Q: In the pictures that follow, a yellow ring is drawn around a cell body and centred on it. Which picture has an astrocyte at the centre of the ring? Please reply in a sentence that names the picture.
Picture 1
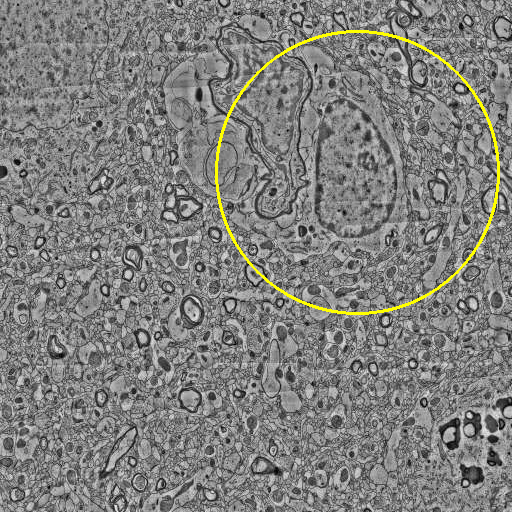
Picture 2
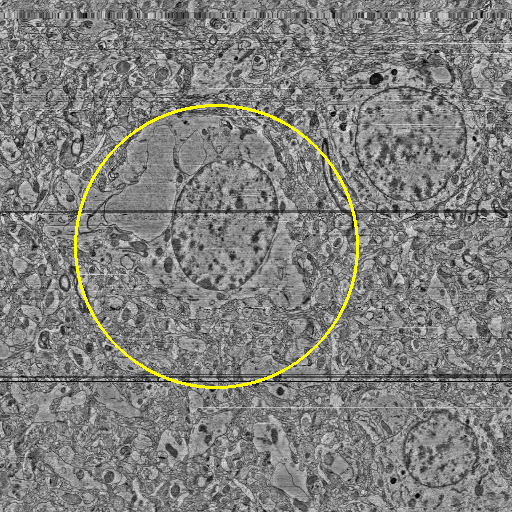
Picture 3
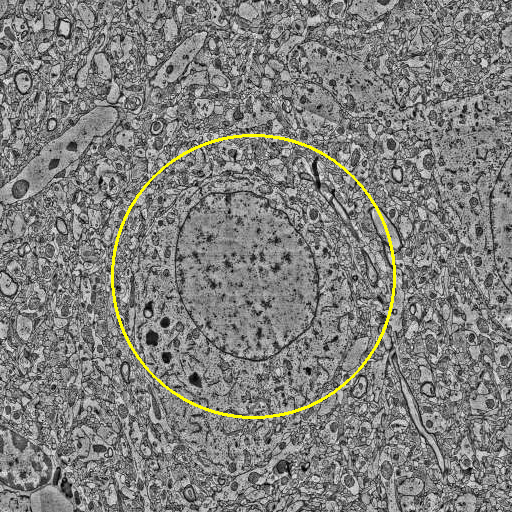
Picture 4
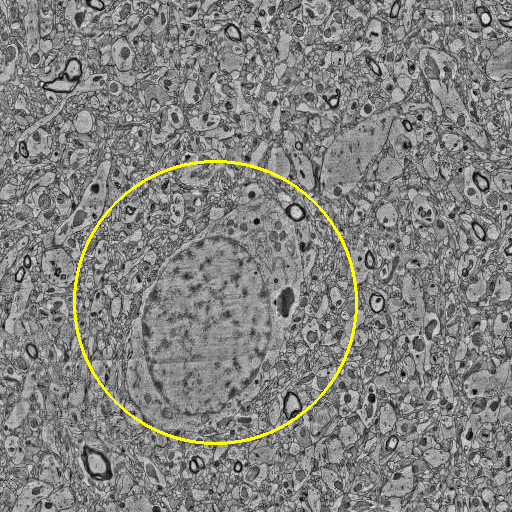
Picture 2 shows it at the centre of its ring.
